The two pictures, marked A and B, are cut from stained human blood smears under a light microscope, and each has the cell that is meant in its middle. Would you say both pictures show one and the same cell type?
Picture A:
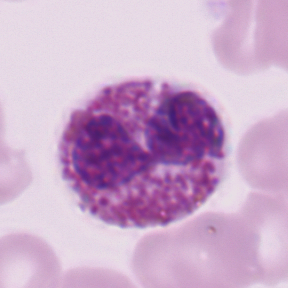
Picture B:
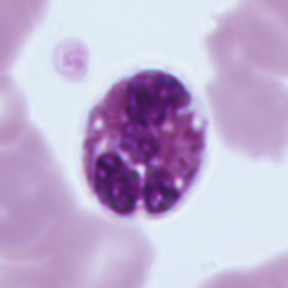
yes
